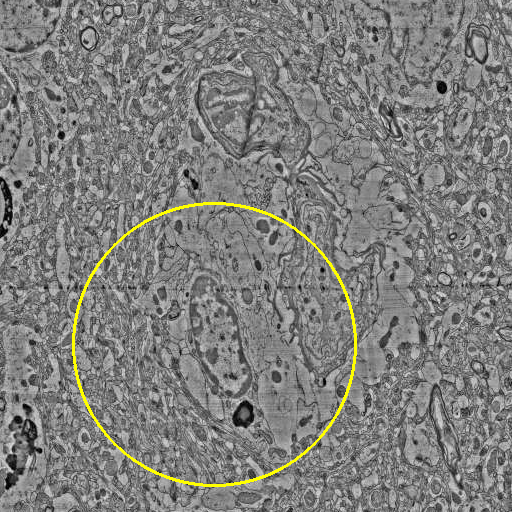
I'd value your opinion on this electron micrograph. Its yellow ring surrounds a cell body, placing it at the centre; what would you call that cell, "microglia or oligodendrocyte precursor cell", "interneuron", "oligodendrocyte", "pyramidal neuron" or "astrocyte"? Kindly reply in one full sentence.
It is a microglial cell or oligodendrocyte precursor cell that sits centred within the yellow ring in this micrograph.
